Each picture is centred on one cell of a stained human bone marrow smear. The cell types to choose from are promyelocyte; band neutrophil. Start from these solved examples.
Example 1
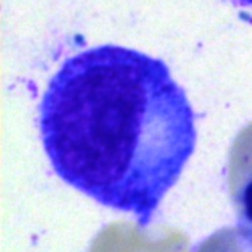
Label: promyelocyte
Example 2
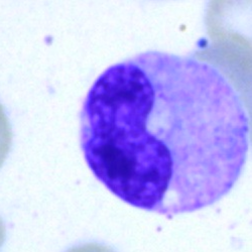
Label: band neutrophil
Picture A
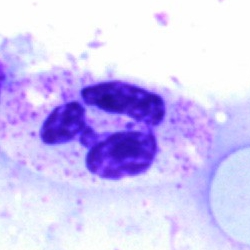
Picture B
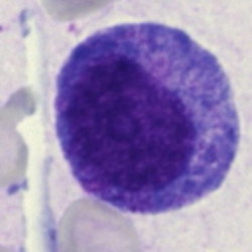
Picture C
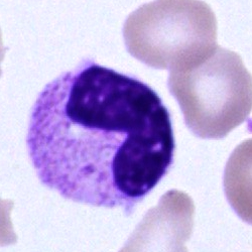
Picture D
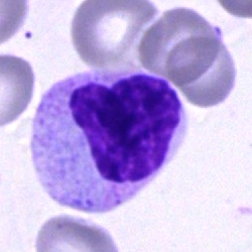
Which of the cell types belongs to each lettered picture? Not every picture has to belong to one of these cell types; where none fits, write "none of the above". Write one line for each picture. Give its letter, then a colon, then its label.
A: none of the above
B: promyelocyte
C: band neutrophil
D: band neutrophil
